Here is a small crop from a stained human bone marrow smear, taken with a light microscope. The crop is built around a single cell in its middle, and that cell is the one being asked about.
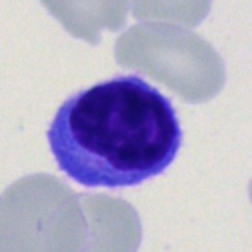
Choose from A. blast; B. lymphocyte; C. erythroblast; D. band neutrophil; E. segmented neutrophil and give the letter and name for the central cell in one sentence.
Option B gets it right: the cell in the middle is a lymphocyte.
